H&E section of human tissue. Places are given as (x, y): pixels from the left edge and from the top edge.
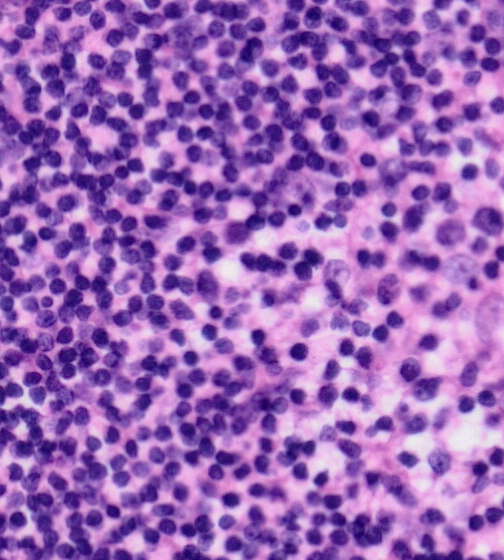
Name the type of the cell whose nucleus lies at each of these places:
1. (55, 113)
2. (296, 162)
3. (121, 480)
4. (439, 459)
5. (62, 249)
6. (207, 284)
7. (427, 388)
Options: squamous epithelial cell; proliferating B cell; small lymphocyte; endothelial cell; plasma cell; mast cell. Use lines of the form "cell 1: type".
cell 1: small lymphocyte
cell 2: small lymphocyte
cell 3: small lymphocyte
cell 4: proliferating B cell
cell 5: small lymphocyte
cell 6: proliferating B cell
cell 7: proliferating B cell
